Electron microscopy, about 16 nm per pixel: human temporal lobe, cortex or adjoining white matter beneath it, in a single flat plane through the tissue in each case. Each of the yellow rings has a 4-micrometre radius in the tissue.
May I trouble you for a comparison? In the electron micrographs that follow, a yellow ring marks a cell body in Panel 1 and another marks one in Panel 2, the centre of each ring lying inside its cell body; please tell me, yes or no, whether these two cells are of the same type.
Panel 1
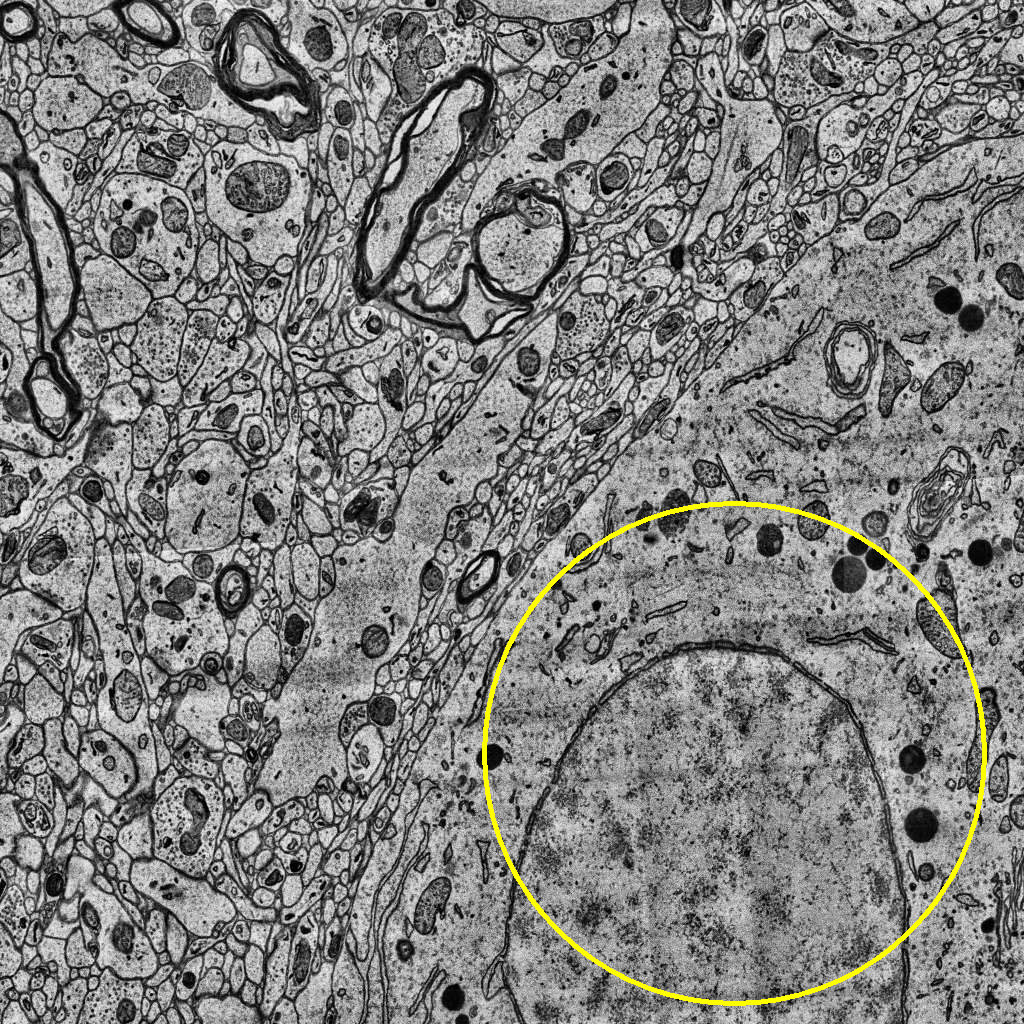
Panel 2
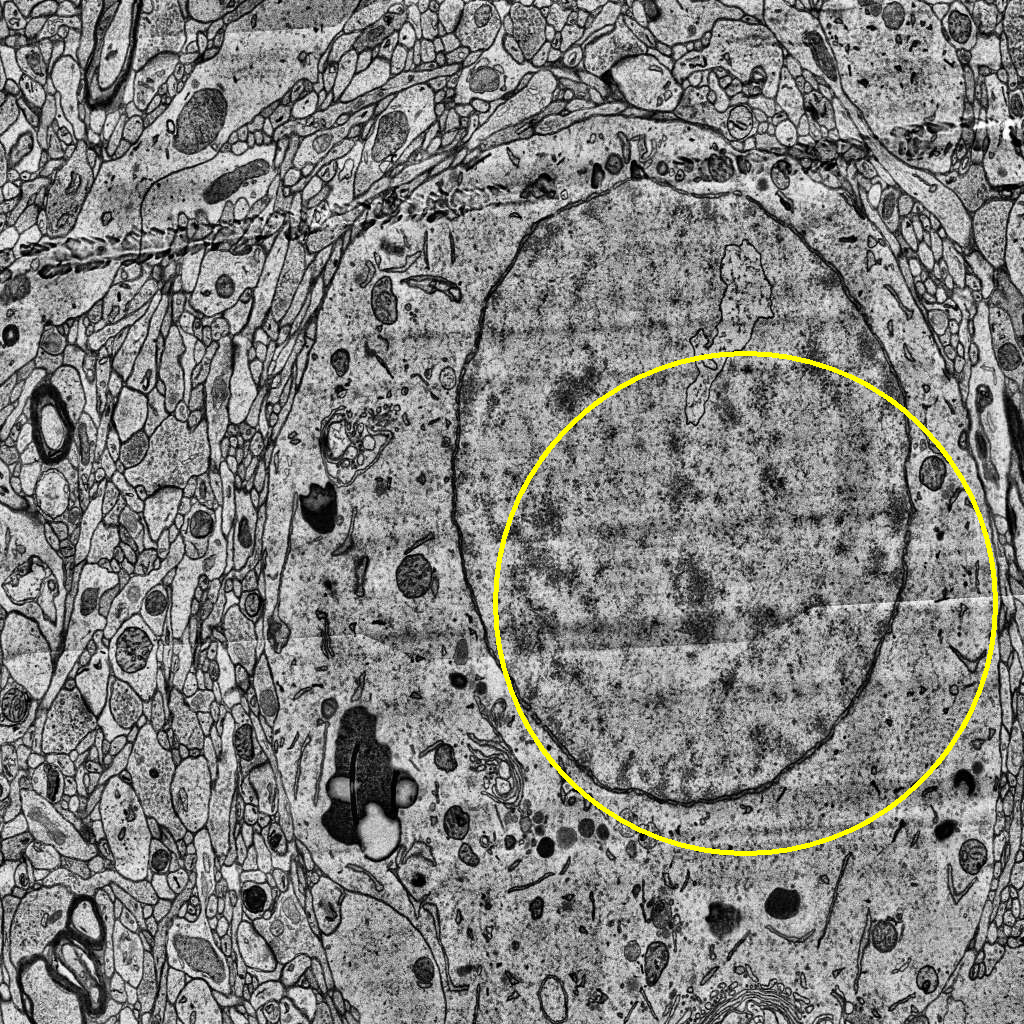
yes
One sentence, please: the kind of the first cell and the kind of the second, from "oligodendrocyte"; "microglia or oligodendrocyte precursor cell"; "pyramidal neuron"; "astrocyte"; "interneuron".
Each cell at the centre of a ring is a pyramidal neuron.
